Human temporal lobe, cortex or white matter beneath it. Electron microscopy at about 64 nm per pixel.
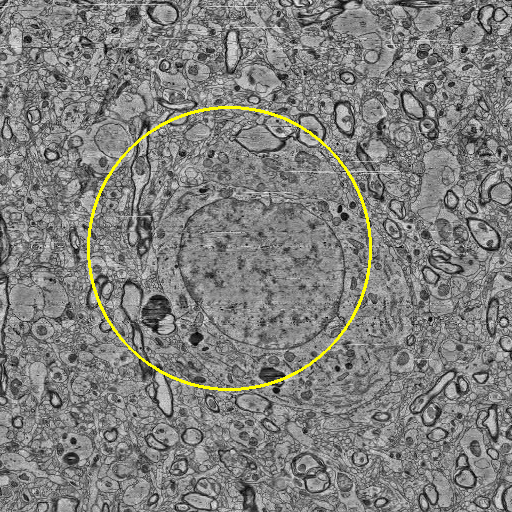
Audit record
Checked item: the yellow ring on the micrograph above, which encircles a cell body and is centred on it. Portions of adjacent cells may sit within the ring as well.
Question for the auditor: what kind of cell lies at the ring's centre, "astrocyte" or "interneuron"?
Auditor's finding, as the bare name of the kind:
interneuron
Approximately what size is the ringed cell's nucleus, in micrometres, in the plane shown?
In this plane, the nucleus is roughly 11 by 10 micrometres.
